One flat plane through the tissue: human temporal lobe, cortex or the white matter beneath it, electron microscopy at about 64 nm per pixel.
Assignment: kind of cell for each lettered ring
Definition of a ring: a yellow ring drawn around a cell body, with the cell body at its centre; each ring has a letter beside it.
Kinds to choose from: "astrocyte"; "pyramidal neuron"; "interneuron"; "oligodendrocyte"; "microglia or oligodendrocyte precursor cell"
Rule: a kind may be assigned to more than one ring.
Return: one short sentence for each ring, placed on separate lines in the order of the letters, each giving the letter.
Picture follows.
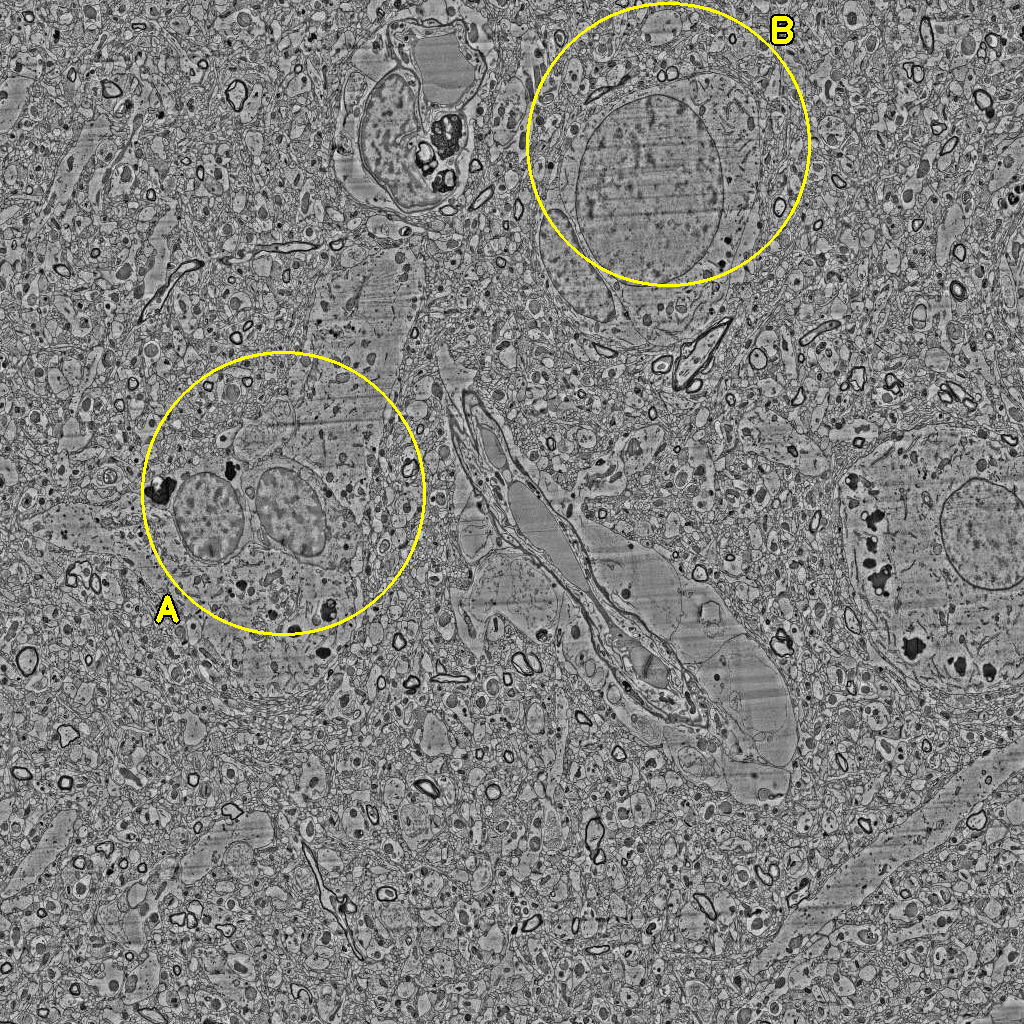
The ring marked A is centred on an oligodendrocyte.
The ring marked B is centred on a pyramidal neuron.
